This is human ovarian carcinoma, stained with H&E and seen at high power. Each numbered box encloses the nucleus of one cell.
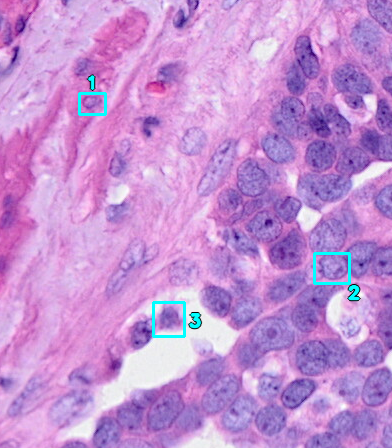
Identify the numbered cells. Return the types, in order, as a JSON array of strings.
["smooth muscle cell", "carcinoma cell", "macrophage or monocyte"]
